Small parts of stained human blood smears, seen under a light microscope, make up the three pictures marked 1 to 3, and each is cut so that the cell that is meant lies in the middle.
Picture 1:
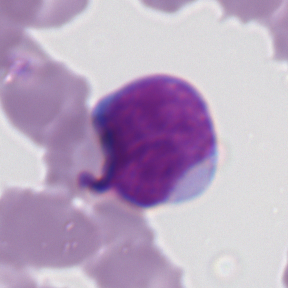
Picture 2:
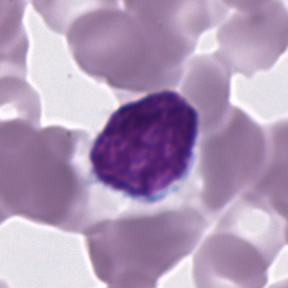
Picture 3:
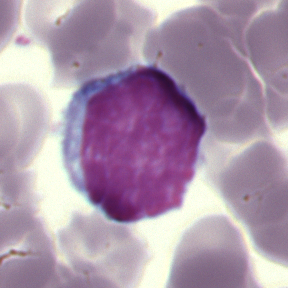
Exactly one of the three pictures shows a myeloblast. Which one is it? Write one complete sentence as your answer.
The picture with the myeloblast is 1.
